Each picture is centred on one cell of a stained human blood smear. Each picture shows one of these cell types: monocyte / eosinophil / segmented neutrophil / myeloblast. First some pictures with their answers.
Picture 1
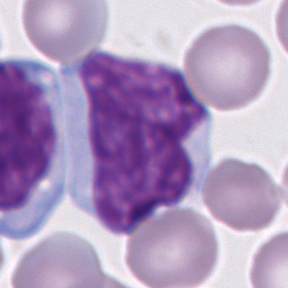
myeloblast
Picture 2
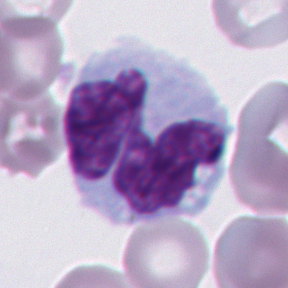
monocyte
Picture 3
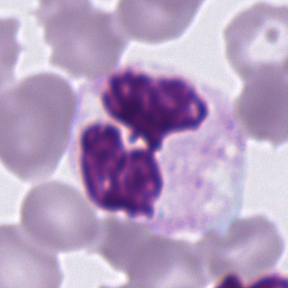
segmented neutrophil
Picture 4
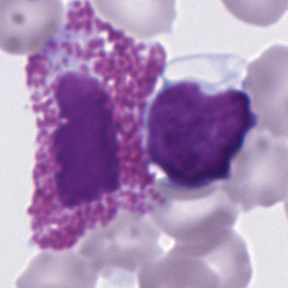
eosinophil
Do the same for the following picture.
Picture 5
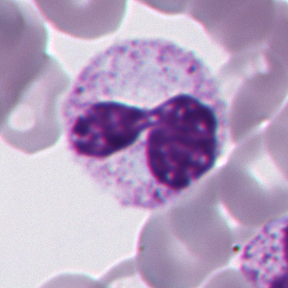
segmented neutrophil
